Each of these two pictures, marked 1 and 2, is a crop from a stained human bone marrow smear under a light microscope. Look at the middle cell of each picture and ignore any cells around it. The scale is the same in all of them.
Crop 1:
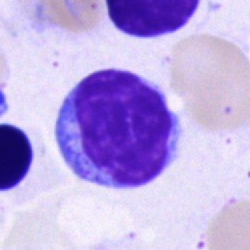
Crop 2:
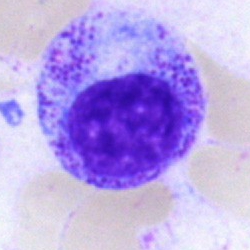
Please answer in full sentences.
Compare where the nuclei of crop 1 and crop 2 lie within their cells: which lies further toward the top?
Seen within its cell, the nucleus in crop 1 lies further toward the top.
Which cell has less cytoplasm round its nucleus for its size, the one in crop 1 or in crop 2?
The nucleus fills more of the cell in crop 1 than in crop 2.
